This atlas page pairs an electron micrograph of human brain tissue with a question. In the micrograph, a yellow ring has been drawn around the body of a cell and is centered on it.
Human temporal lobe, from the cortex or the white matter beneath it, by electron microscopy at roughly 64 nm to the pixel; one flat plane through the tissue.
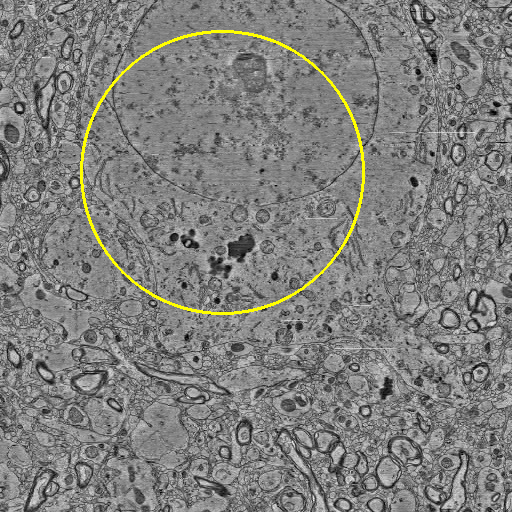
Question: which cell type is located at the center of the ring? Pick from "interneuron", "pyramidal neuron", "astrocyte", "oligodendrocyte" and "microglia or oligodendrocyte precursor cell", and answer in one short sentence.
Located at the center of the ring is a pyramidal neuron.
